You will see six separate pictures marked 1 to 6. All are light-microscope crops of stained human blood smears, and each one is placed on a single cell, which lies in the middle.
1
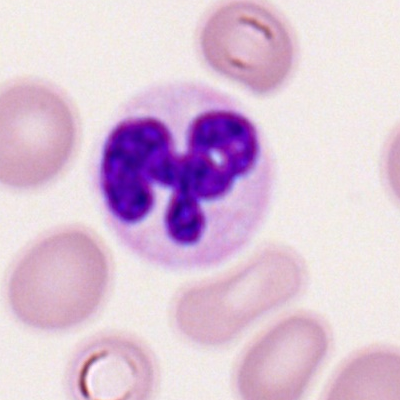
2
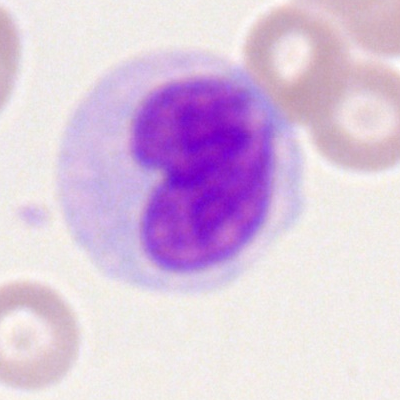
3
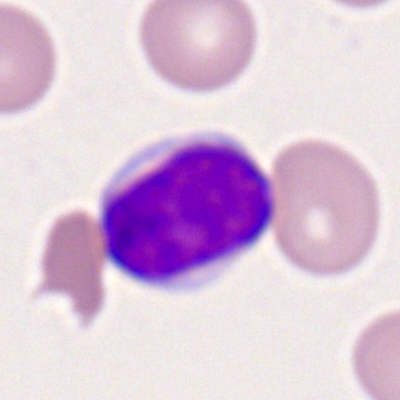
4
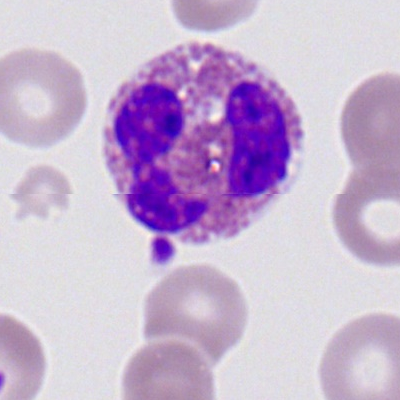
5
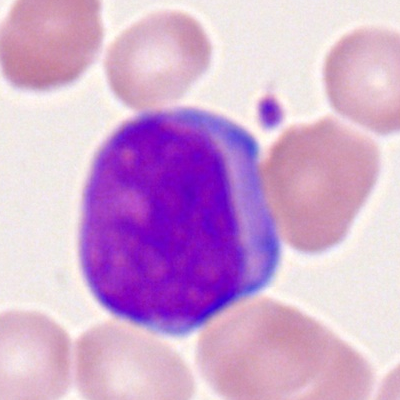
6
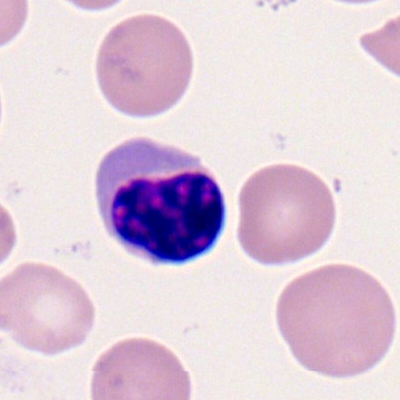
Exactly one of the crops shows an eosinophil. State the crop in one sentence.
Among these crops, crop 4 holds an eosinophil.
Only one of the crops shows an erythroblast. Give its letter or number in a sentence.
The crop bearing an erythroblast is crop 6.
